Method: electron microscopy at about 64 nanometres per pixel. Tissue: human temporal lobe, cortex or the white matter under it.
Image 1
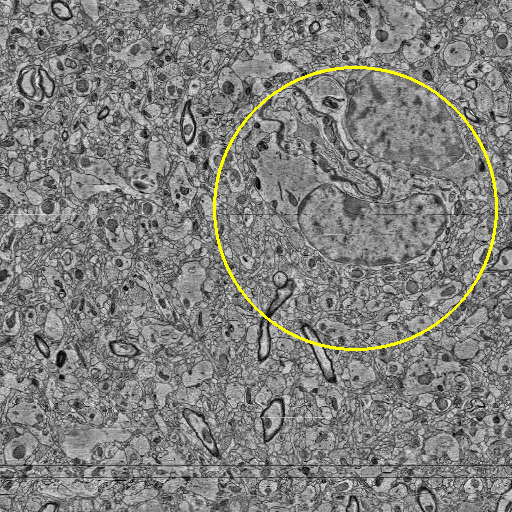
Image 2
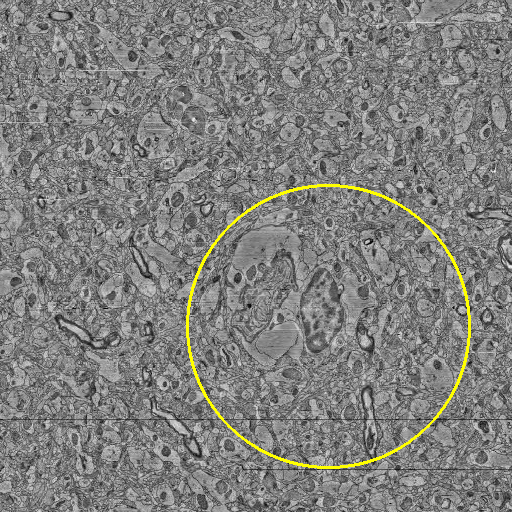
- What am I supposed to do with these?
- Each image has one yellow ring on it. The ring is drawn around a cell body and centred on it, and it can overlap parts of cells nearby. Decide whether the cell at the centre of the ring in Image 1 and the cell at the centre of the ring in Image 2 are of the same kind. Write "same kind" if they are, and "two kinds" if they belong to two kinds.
same kind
